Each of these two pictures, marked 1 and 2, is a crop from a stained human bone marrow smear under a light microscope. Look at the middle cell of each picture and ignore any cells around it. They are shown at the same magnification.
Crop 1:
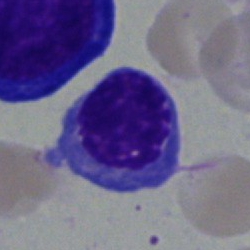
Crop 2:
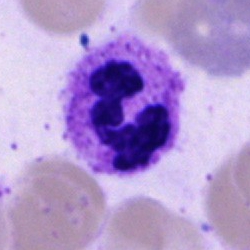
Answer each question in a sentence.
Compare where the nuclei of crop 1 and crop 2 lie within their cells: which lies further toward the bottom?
It is the nucleus in crop 2 that lies further toward the bottom of its cell.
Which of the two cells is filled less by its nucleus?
The nucleus fills less of the cell in crop 2 than in crop 1.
